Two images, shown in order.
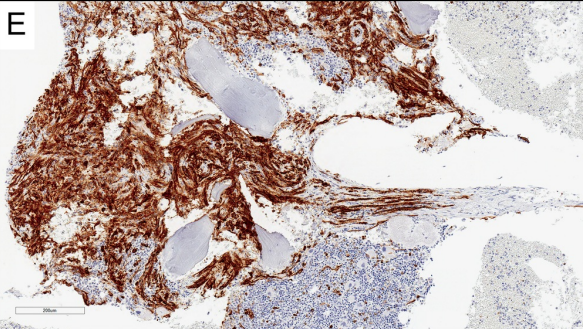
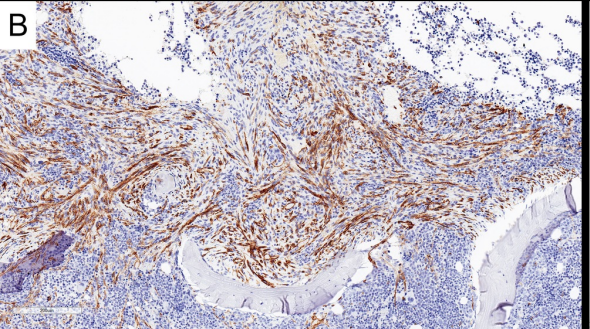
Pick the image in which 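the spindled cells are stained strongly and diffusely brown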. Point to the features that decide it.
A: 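The first image. First image: dense dark brown stain covers most of the spindle cell bundles. Second image: brown stain is lighter and patchy among the spindle cells.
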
